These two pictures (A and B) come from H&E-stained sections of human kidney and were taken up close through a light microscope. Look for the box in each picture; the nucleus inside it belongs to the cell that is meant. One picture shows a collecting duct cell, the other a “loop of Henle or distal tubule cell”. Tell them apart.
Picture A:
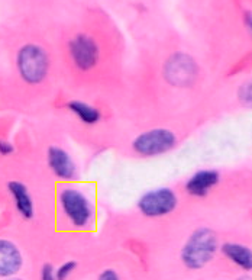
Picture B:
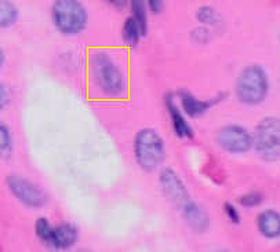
A: loop of Henle or distal tubule cell
B: collecting duct cell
